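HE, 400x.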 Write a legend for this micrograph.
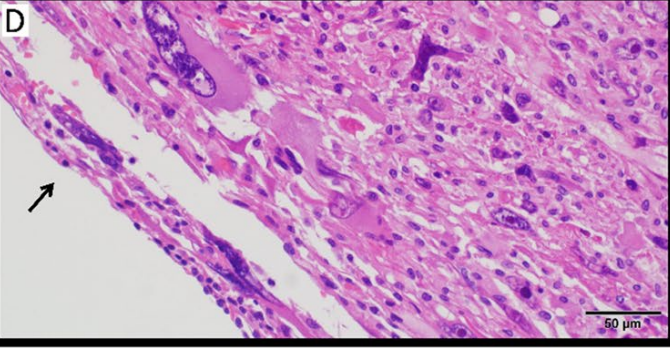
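Along a thin strip of tissue at the edge lie cells with large, very dark, irregular nuclei, one elongated and crowded with coarse chromatin. Inside the tissue, many cells vary strongly in size and shape: some have plump oval nuclei with clear chromatin and prominent nucleoli, others are giant cells with several dark nuclei or bizarre, angular hyperchromatic nuclei, and several have abundant glassy pink cytoplasm. They lie loosely in a pale pink stroma with a few red blood cells. Such marked pleomorphism and nuclear atypia reaching the edge indicate highly atypical neoplastic cells at the margin.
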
